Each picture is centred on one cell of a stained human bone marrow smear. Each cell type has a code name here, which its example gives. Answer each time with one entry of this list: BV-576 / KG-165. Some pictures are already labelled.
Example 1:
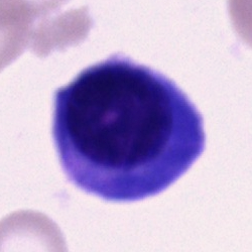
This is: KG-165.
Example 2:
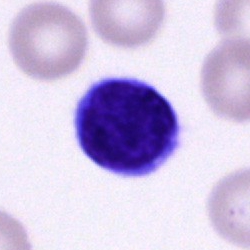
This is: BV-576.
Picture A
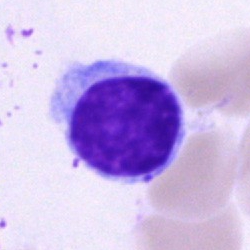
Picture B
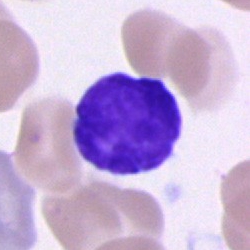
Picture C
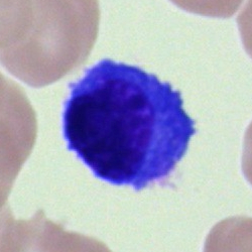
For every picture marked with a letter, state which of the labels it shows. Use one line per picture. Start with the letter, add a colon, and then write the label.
A: BV-576.
B: BV-576.
C: KG-165.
